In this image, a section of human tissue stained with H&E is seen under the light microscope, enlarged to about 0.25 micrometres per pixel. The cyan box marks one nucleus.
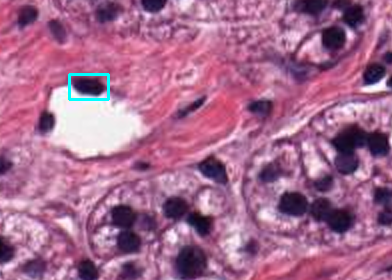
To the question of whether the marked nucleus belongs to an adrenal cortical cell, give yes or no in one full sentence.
No, rather than to an adrenal cortical cell, the marked nucleus belongs to a supporting cell.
